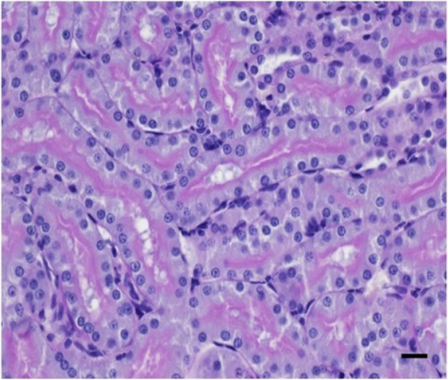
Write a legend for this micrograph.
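This is renal cortex, packed with proximal tubules cut at various angles. Thin interstitial spaces with a few elongated dark nuclei separate the tubules.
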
